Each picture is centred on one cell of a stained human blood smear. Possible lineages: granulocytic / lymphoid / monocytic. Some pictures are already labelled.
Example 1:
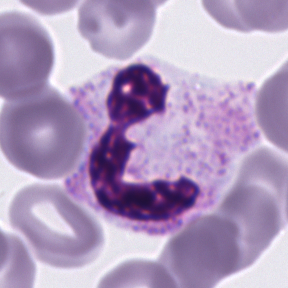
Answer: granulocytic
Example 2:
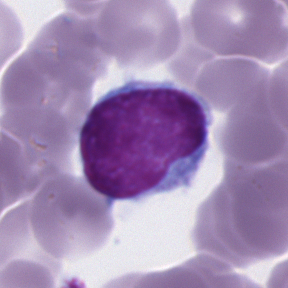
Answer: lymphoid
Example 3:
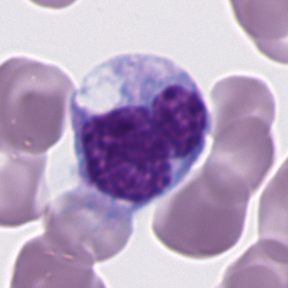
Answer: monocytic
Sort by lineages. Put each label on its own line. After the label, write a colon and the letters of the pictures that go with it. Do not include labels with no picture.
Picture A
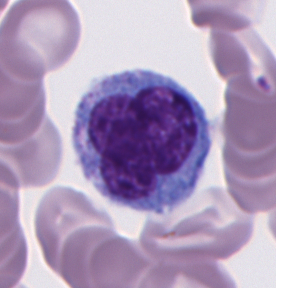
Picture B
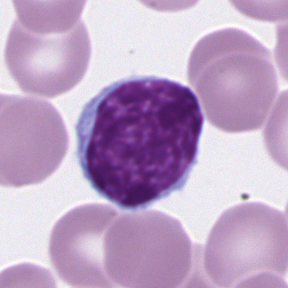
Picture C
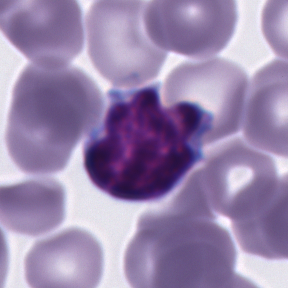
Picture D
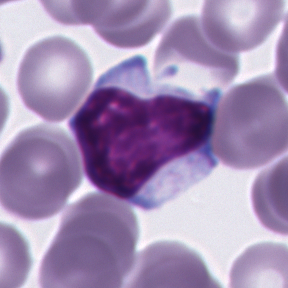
lymphoid: B, C, D
monocytic: A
